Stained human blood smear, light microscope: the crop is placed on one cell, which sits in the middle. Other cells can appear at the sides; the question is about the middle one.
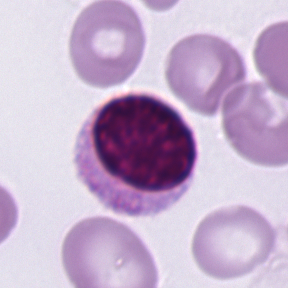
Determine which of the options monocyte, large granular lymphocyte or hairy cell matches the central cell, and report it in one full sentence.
The cell around which this crop is centred is a large granular lymphocyte.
